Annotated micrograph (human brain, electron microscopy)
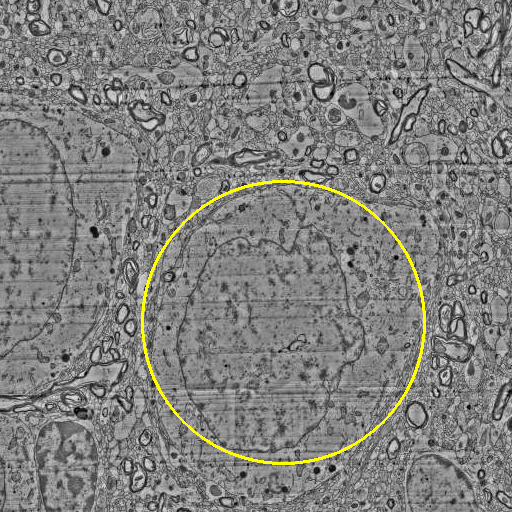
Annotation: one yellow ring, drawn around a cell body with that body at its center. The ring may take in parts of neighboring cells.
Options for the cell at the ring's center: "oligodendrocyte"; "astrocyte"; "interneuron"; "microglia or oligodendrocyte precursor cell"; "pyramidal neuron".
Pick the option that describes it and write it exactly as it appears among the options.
pyramidal neuron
